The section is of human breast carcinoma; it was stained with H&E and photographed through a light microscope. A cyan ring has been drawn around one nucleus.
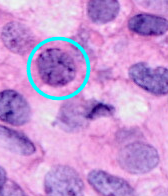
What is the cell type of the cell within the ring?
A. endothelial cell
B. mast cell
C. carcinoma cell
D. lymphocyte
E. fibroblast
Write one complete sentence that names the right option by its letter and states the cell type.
The correct option is C, and the cell within the ring is a carcinoma cell.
